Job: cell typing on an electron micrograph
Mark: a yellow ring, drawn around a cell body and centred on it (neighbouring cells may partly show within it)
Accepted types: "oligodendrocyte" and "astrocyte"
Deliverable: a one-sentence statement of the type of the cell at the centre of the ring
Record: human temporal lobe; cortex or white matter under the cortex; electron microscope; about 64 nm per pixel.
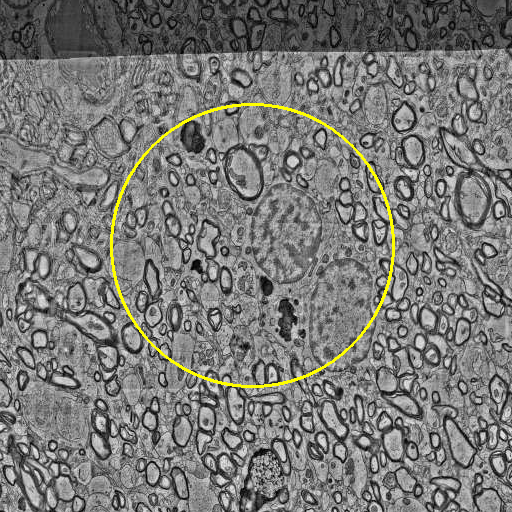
The centred cell body is that of an oligodendrocyte.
